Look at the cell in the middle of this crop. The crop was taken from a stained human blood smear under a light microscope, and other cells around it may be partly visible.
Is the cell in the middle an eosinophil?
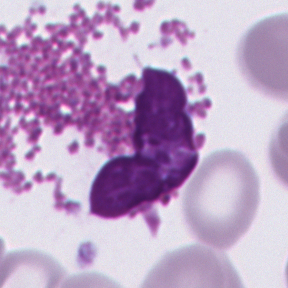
yes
